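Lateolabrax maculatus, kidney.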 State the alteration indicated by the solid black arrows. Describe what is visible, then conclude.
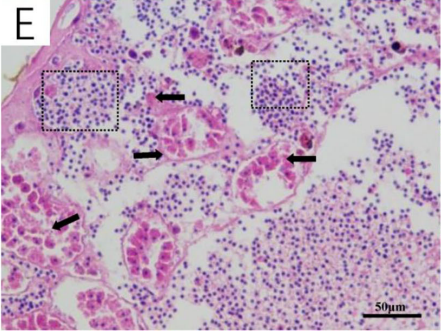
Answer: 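Tubular epithelial cells are detached from the tubule wall and lie loose in the lumen. The detached cells are shrunken and deeply eosinophilic. The answer: necrosis and desquamation of the renal tubular epithelial lining.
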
